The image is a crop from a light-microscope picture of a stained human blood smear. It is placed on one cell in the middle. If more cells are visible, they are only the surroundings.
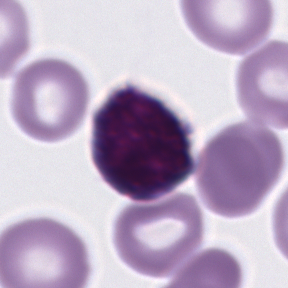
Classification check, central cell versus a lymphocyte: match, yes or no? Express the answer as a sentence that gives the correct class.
No, the centrally placed cell is a blast, not a lymphocyte.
